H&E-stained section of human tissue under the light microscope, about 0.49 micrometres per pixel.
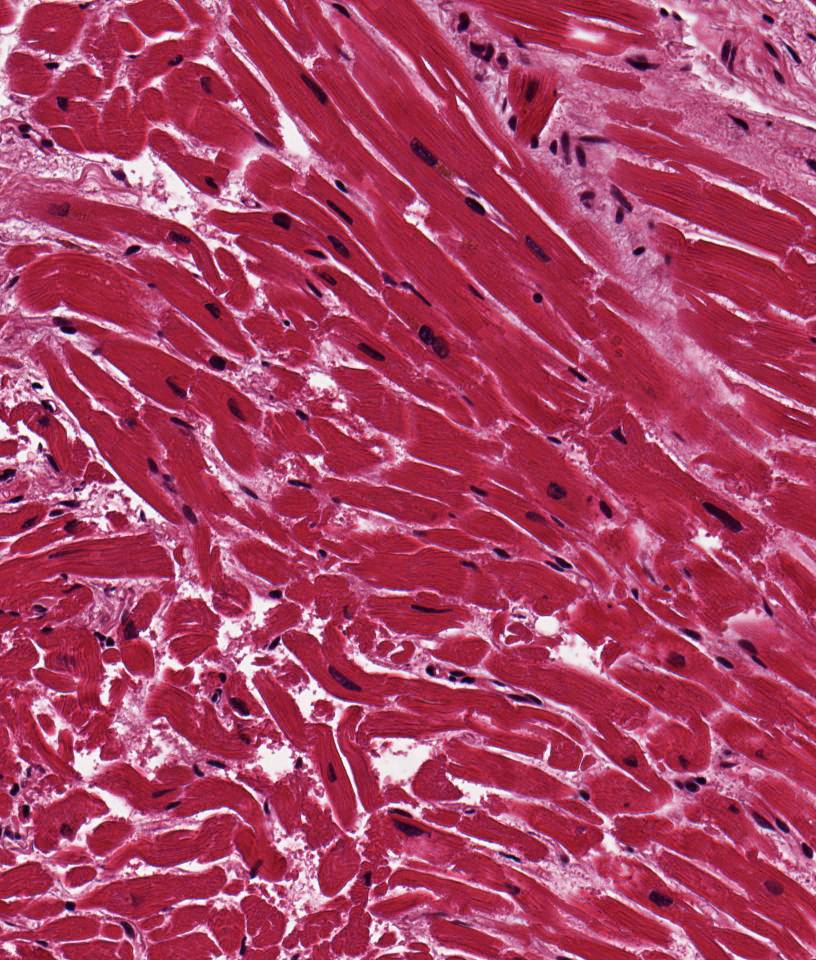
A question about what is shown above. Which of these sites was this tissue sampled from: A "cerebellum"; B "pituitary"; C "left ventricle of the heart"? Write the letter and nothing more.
C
